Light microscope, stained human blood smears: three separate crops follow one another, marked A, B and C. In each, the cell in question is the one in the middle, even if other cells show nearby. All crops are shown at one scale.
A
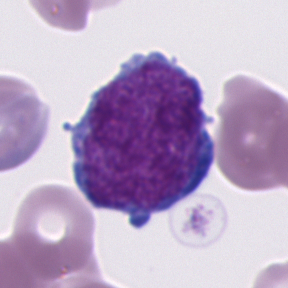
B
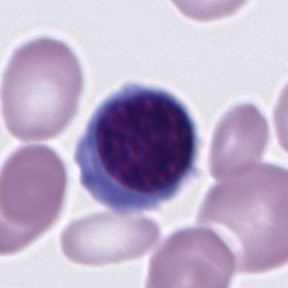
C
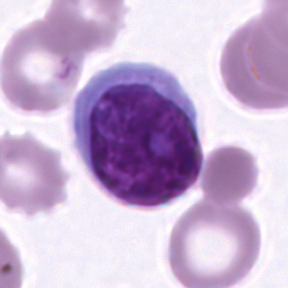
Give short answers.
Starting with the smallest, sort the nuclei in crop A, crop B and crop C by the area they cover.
B, C, A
